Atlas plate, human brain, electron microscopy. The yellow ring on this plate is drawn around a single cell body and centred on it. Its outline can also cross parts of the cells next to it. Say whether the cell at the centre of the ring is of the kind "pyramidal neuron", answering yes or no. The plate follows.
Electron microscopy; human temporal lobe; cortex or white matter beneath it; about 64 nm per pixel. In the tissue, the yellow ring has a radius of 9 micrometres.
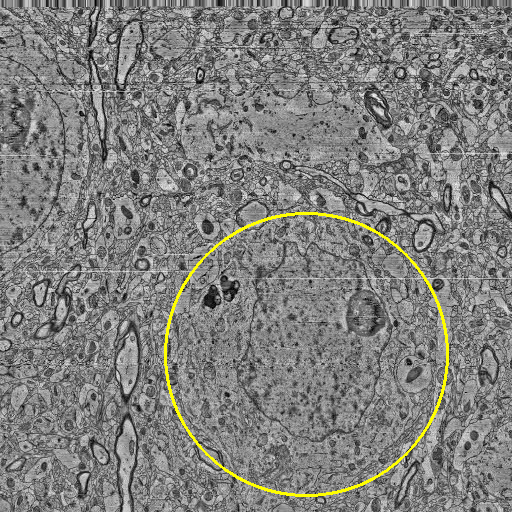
Yes, the cell is of that kind.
